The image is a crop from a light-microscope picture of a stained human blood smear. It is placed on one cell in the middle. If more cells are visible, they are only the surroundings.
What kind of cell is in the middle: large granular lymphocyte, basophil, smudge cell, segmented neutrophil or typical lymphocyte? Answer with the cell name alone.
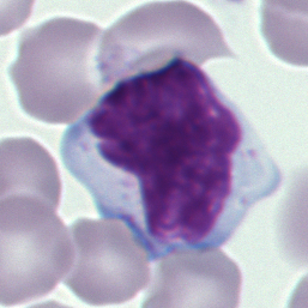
large granular lymphocyte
